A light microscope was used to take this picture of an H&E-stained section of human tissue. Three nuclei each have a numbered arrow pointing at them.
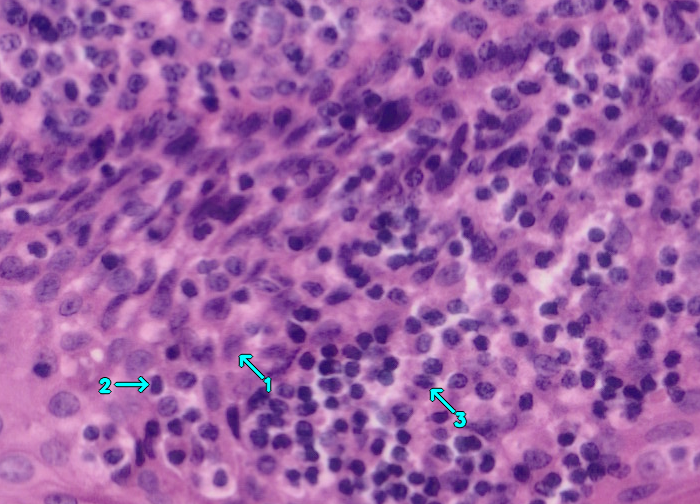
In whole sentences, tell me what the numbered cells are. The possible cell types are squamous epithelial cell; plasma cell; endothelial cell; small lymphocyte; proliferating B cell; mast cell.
Cells 1 and 2 are squamous epithelial cells. Cell 3 is a plasma cell.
